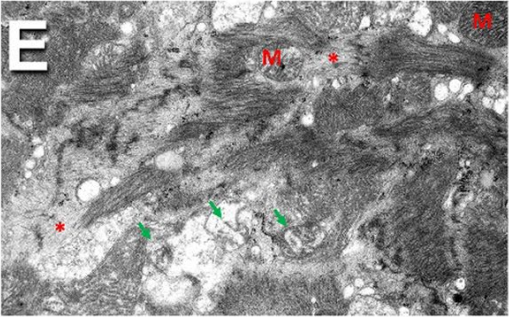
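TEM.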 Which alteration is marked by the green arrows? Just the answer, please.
Mitochondrial vacuolization with crystolysis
